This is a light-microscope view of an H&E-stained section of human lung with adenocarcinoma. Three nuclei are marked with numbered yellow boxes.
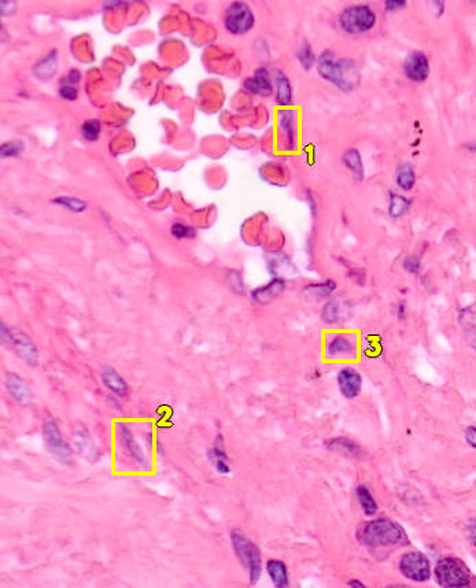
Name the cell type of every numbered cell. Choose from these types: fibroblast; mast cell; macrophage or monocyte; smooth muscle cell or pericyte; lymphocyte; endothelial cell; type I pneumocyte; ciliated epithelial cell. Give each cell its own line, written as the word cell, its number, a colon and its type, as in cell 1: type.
cell 1: endothelial cell
cell 2: smooth muscle cell or pericyte
cell 3: mast cell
